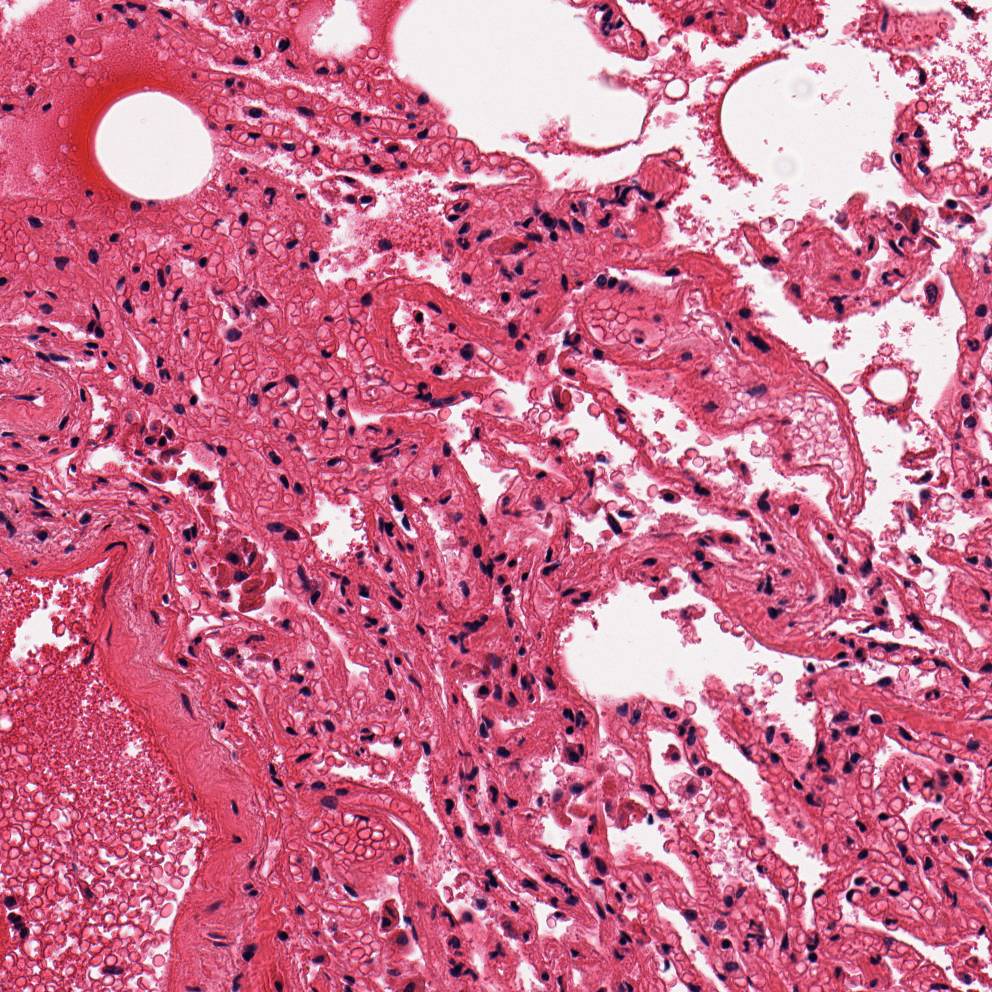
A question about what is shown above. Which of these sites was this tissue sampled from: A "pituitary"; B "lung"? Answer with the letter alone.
B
